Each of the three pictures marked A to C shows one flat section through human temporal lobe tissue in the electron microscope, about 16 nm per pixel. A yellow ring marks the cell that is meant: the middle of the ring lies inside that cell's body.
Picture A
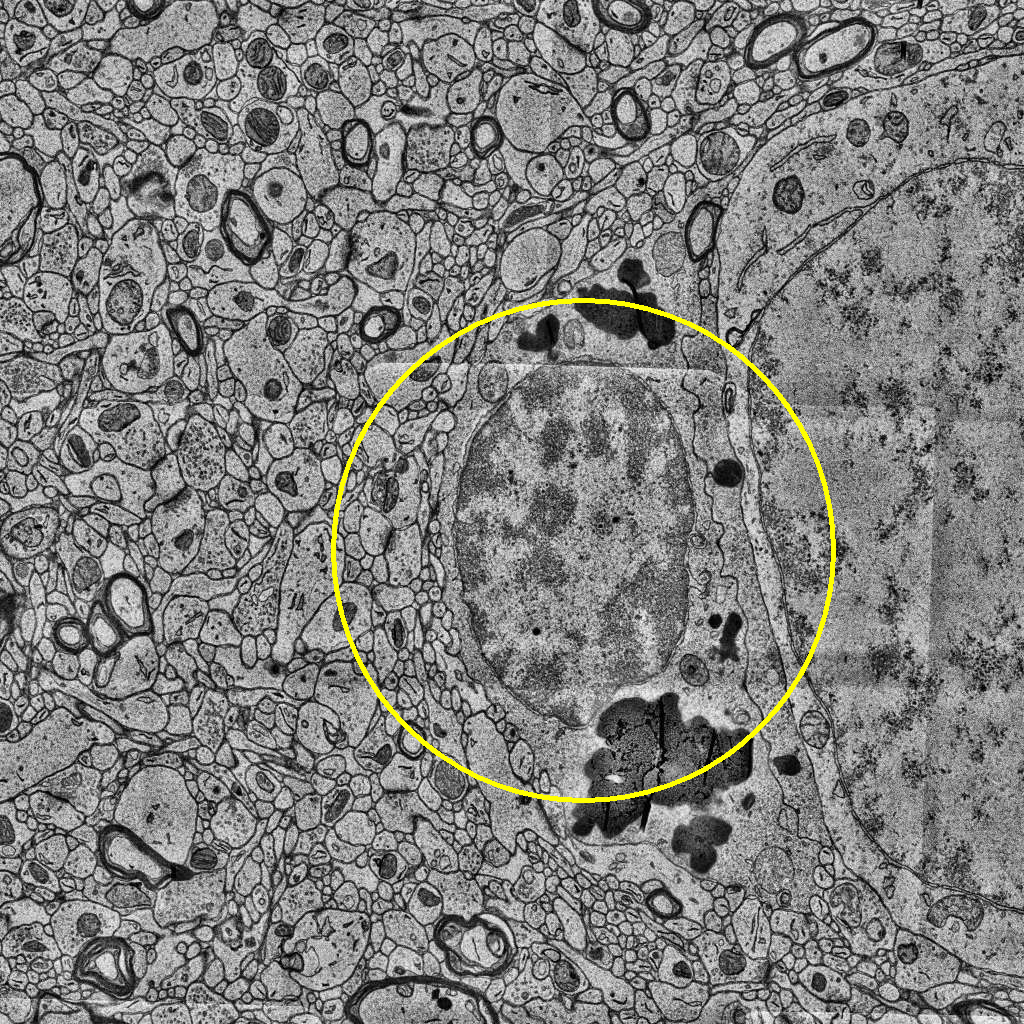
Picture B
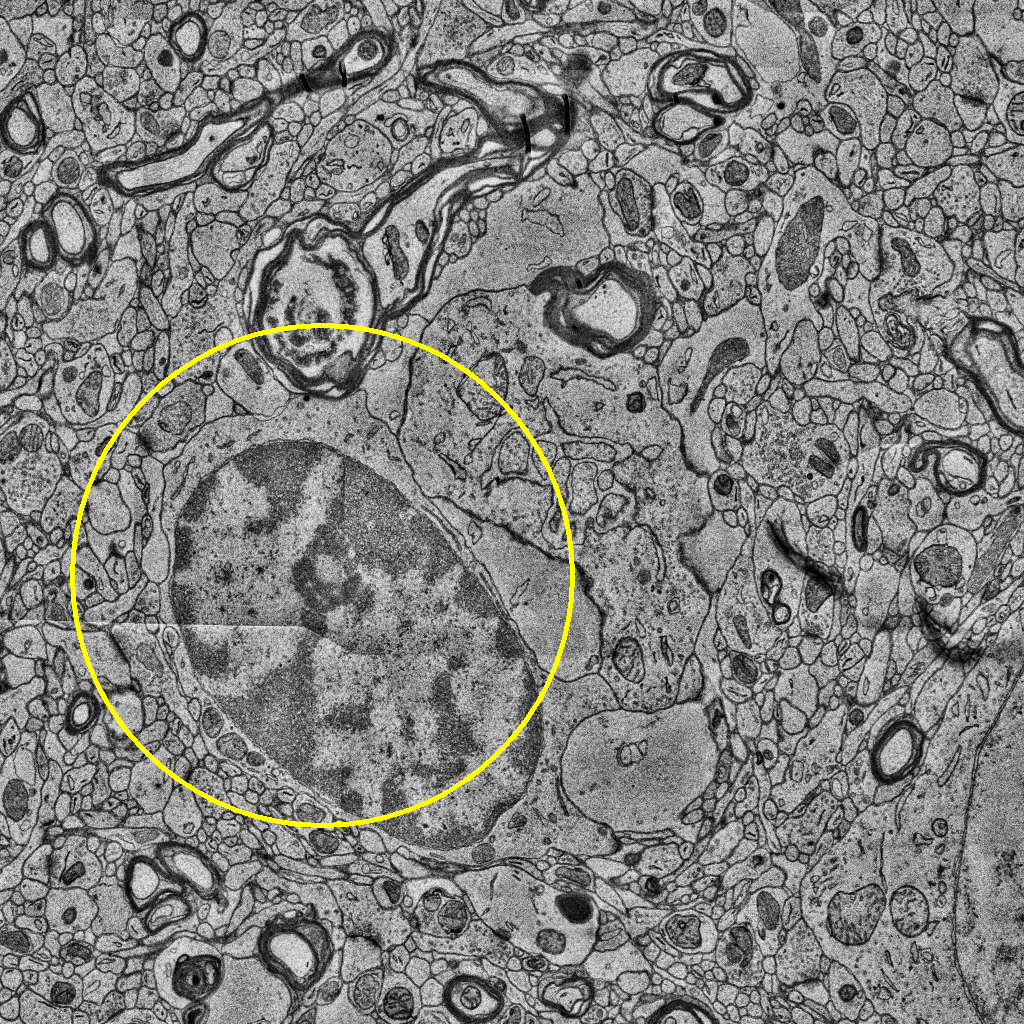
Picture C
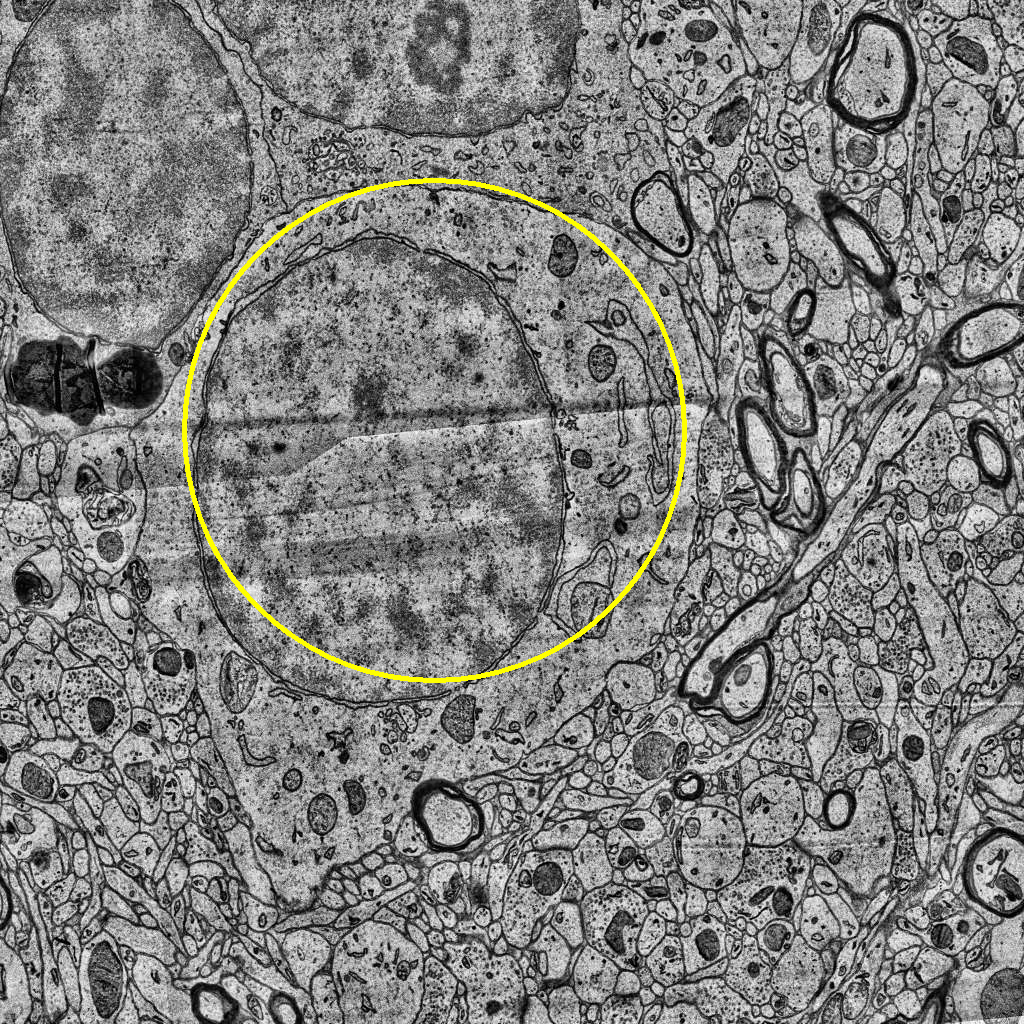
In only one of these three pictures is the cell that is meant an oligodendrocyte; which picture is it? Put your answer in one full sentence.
The picture with the oligodendrocyte is A.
